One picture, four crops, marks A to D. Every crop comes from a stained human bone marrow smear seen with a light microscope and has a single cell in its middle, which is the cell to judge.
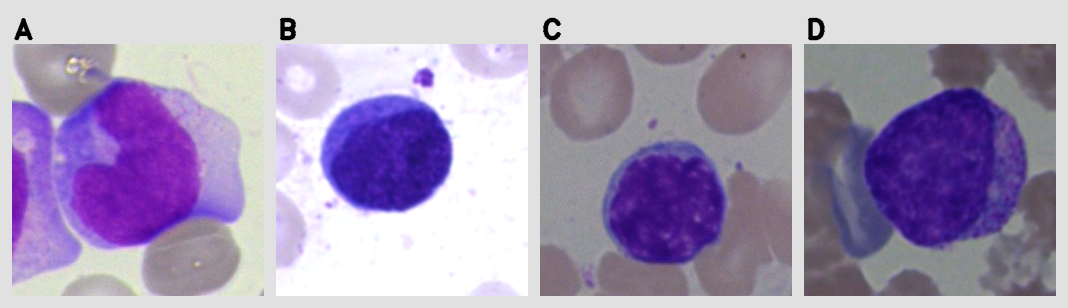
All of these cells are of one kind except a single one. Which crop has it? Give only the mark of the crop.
C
